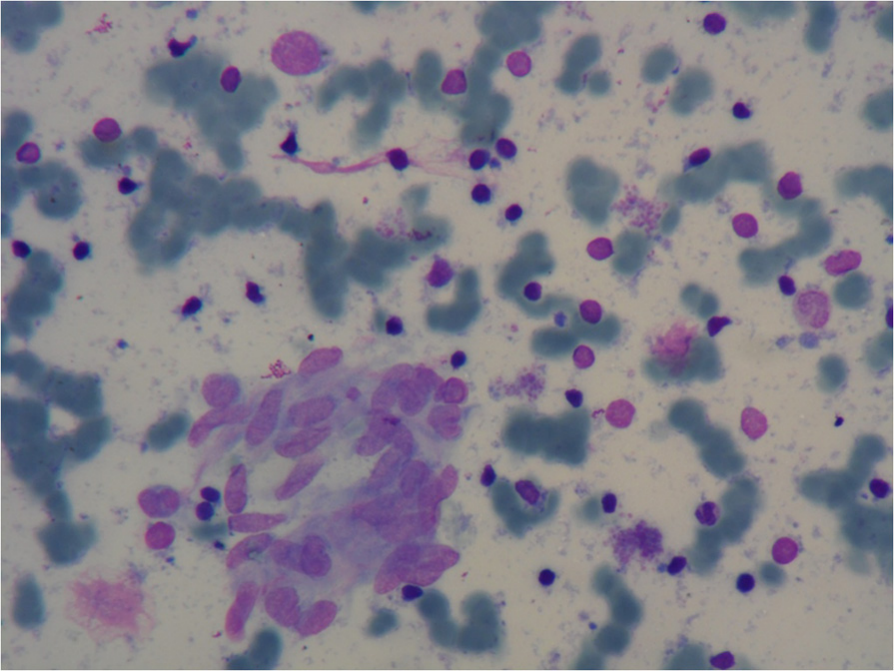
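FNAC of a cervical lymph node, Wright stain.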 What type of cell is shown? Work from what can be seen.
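Epithelioid cells. A cohesive cluster of cells with elongated, curved, slipper-like nuclei lower left. Pale, ill-defined cytoplasm shared across the cluster without clear cell borders.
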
